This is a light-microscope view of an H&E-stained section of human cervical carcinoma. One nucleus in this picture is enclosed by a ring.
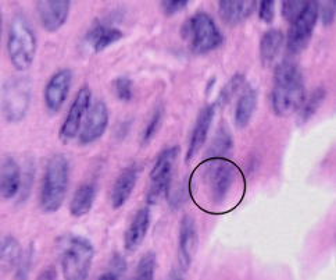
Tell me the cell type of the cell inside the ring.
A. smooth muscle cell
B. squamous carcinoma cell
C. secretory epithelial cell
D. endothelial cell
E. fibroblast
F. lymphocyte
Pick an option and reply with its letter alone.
B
